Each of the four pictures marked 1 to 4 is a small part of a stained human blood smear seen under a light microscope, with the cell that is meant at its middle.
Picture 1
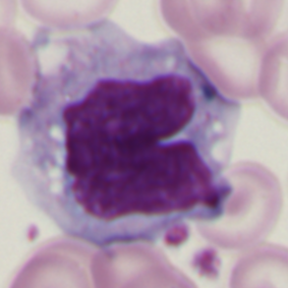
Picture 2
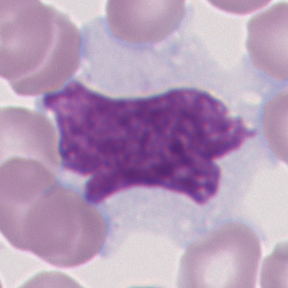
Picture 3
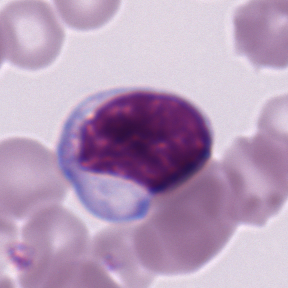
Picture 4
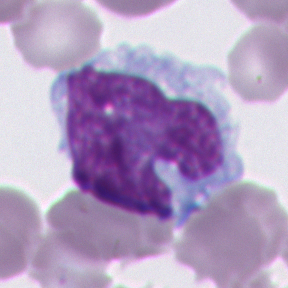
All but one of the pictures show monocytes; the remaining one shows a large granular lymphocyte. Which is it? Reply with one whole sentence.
The picture with the large granular lymphocyte is 3.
